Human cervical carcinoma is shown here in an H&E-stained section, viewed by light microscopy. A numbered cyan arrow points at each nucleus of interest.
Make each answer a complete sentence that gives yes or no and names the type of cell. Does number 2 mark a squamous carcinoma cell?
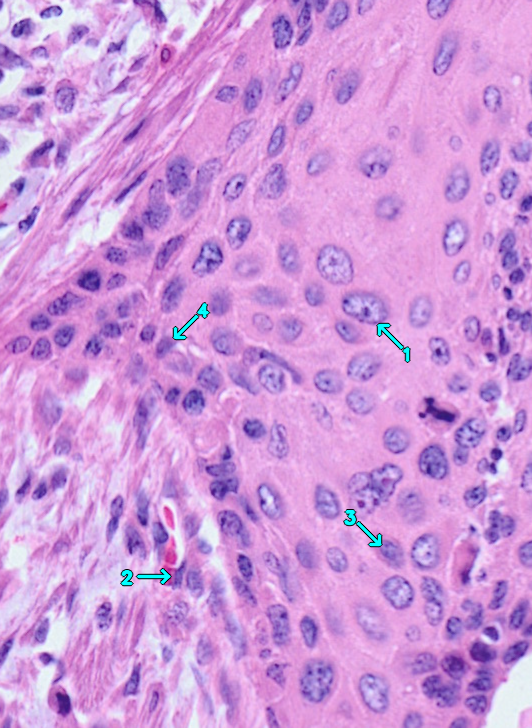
No, cell 2 is not a squamous carcinoma cell; it is an endothelial cell.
